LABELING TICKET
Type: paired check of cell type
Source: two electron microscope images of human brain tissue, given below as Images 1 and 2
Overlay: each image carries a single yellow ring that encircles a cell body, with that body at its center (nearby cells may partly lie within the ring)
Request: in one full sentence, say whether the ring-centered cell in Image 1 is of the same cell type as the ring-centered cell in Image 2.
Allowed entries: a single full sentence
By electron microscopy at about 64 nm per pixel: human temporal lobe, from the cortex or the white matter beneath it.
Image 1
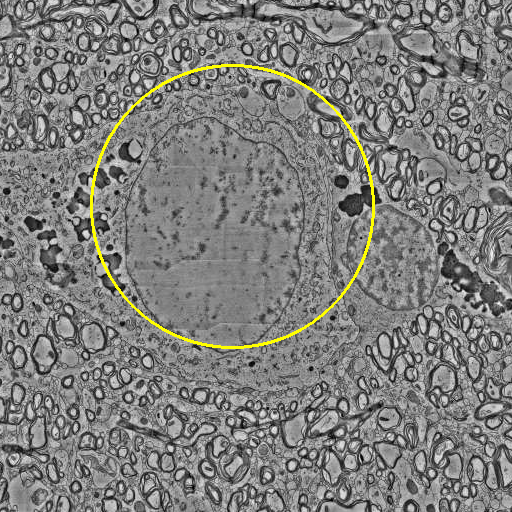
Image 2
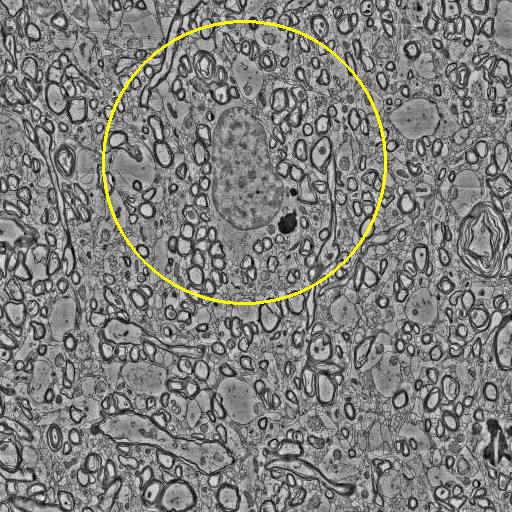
No, the cells centered in the rings of Image 1 and Image 2 are of two types.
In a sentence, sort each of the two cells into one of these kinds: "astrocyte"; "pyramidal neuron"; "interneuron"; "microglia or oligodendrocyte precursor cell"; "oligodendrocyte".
The first of the two cells is a pyramidal neuron, and the second is an oligodendrocyte.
